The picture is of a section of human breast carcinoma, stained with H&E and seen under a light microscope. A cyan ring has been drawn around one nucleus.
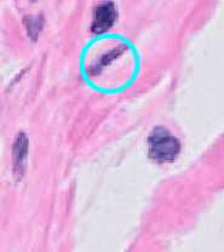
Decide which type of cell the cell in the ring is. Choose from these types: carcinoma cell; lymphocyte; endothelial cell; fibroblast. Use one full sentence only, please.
At the level of cell identity, the cell in the ring is a fibroblast.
